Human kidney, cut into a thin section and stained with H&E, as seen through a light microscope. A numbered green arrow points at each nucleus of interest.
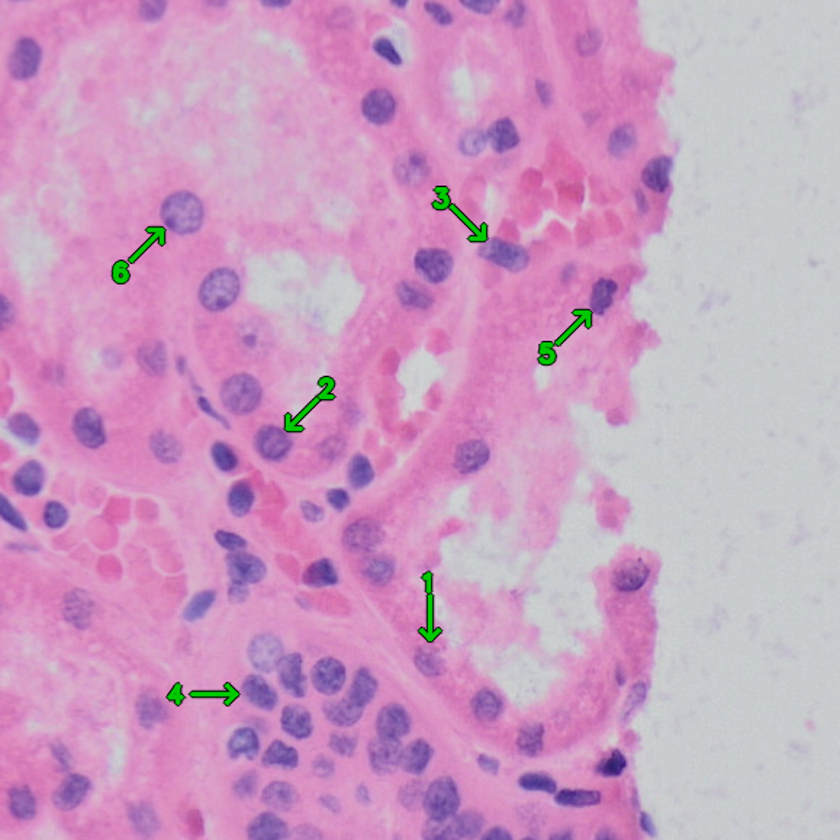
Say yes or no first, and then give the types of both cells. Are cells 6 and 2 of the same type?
Yes, cells 6 and 2 both qualify as proximal tubule cells.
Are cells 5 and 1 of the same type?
Yes, cells 5 and 1 are both proximal tubule cells and thus of one type.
